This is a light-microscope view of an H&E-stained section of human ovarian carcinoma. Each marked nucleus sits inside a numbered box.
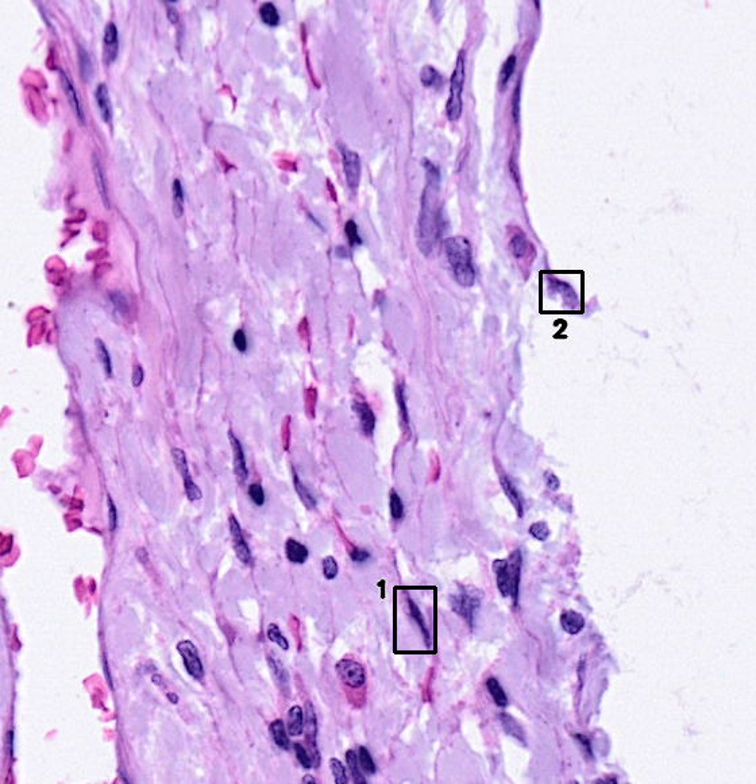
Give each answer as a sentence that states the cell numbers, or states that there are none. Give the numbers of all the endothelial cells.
Only cell 2 qualifies as an endothelial cell among the numbered cells.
